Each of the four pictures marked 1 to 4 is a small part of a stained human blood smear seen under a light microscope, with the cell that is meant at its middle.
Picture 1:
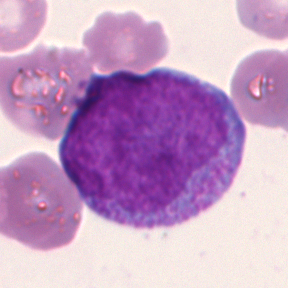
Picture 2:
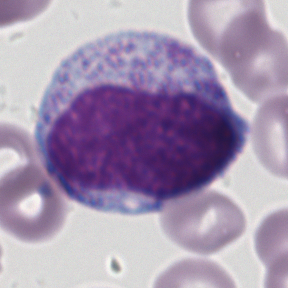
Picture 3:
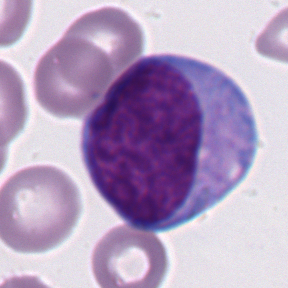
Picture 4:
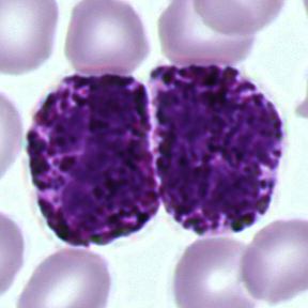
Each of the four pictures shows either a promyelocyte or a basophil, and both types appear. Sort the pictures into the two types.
1: promyelocyte
2: promyelocyte
3: promyelocyte
4: basophil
